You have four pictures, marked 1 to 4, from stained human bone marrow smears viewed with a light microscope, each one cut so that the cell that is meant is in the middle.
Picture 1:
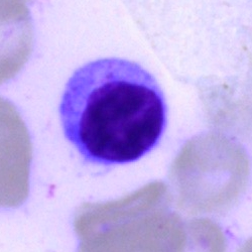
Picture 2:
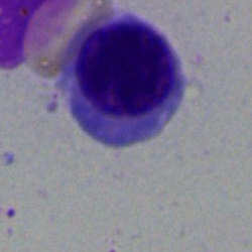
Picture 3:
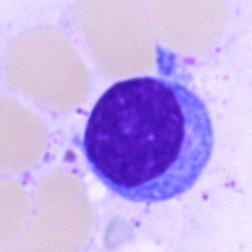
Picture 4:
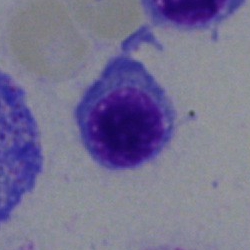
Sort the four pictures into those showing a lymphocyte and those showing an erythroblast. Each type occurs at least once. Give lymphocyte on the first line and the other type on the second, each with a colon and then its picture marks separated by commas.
lymphocyte: 1, 3
erythroblast: 2, 4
